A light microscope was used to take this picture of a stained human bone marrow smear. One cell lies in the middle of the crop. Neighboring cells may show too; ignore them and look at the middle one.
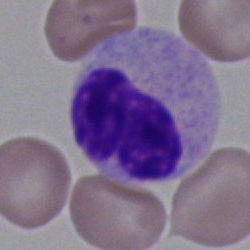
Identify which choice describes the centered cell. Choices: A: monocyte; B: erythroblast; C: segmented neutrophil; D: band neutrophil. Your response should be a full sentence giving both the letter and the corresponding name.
With the cell in the middle being a band neutrophil, option D is the correct choice.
